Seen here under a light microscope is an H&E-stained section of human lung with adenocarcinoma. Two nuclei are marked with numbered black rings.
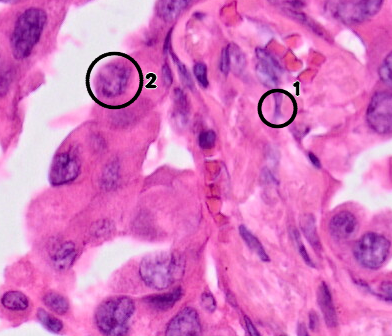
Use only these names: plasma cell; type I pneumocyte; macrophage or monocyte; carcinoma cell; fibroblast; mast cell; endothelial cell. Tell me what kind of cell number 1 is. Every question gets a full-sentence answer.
Among the marked nuclei, number 1 belongs to a fibroblast.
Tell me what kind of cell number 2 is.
The cell identified by the number 2 is a carcinoma cell.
